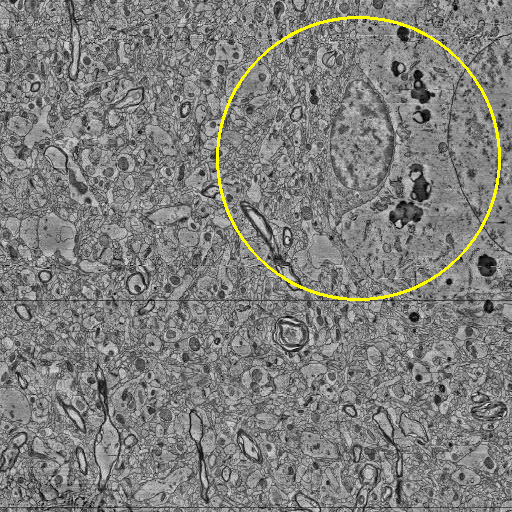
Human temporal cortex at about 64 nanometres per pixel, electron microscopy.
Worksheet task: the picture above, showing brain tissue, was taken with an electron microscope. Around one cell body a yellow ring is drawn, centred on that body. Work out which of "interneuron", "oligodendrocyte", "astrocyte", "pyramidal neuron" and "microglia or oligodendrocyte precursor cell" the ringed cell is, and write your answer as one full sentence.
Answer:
It is an oligodendrocyte whose cell body lies at the centre of the yellow ring.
